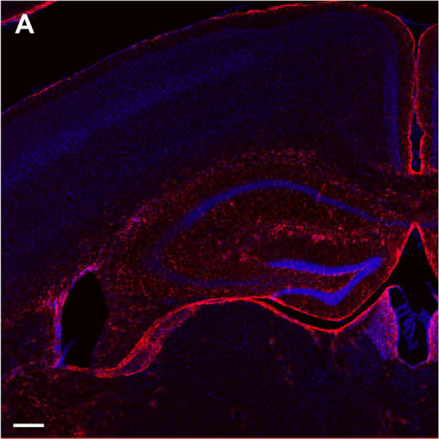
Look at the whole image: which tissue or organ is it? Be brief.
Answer: Hippocampus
